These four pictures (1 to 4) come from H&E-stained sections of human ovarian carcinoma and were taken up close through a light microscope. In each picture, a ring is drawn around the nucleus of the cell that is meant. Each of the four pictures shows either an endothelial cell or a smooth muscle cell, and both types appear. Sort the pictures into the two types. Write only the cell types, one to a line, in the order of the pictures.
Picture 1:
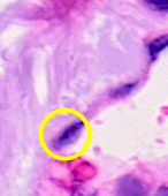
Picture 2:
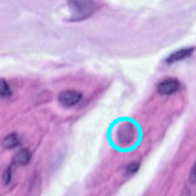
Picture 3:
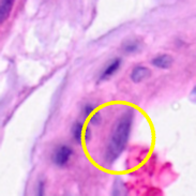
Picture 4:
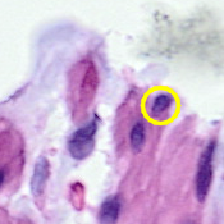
endothelial cell
smooth muscle cell
endothelial cell
smooth muscle cell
